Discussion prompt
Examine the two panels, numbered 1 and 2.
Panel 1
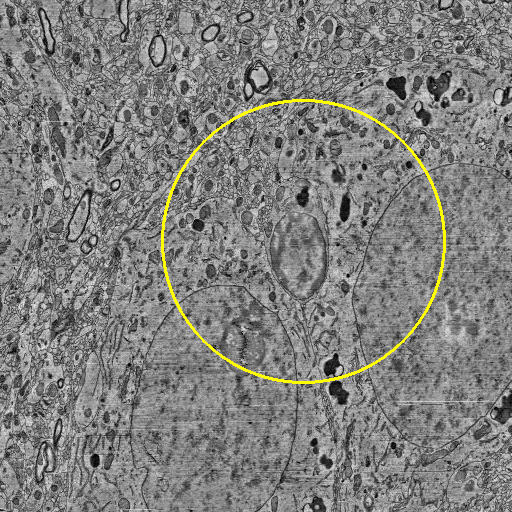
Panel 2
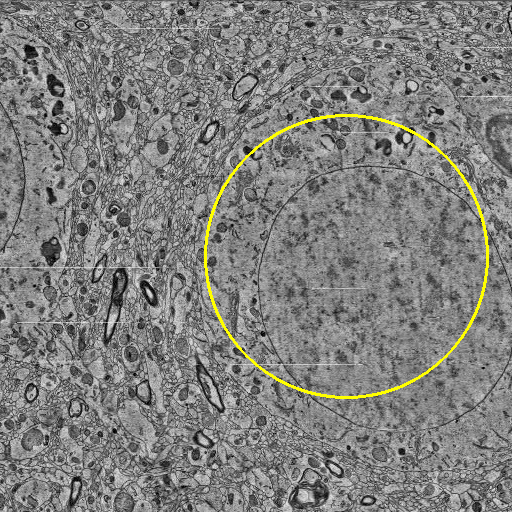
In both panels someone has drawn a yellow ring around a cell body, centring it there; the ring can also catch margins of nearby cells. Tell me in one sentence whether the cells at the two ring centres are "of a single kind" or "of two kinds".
Taken together, the two cells centred in the rings of Panels 1 and 2 are of two kinds.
